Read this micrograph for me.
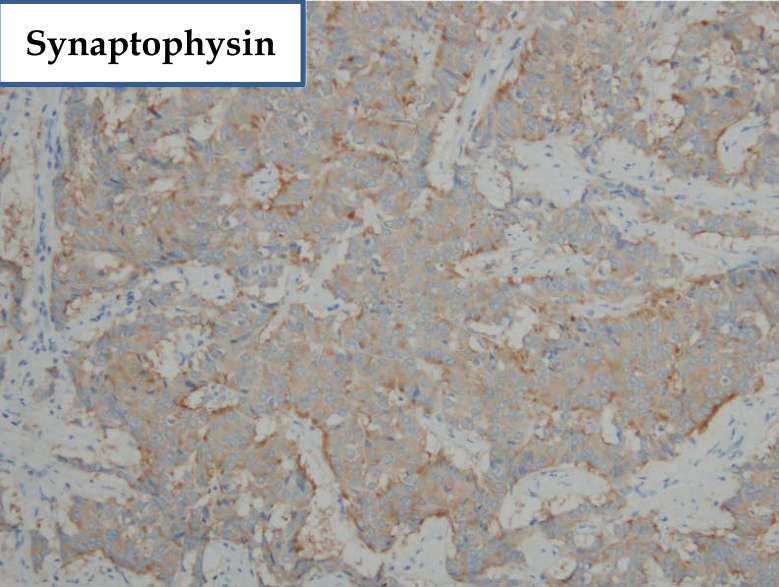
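The tumor cells have diffuse, finely granular light brown cytoplasm, stronger along the edges of the cell groups. The spindle cells of the intervening stroma stay unstained.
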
